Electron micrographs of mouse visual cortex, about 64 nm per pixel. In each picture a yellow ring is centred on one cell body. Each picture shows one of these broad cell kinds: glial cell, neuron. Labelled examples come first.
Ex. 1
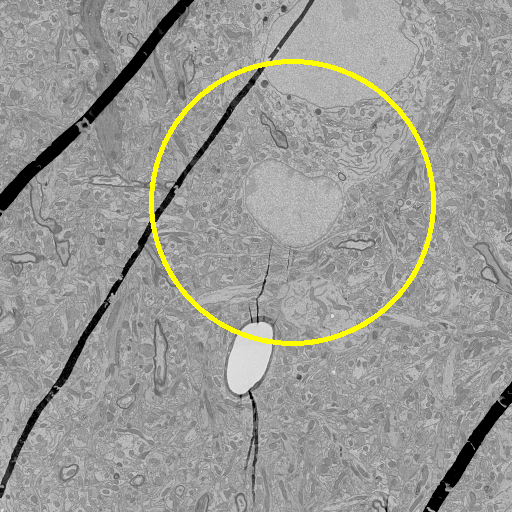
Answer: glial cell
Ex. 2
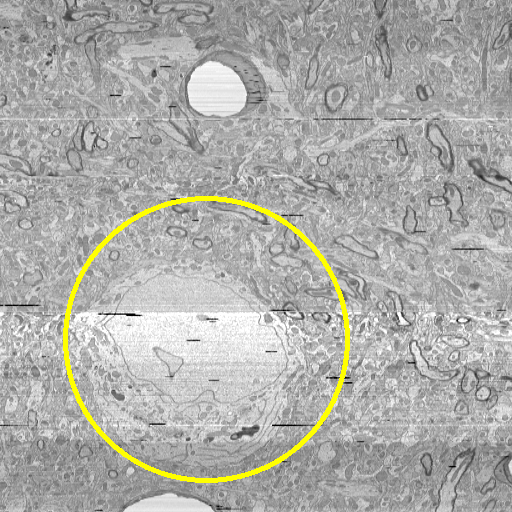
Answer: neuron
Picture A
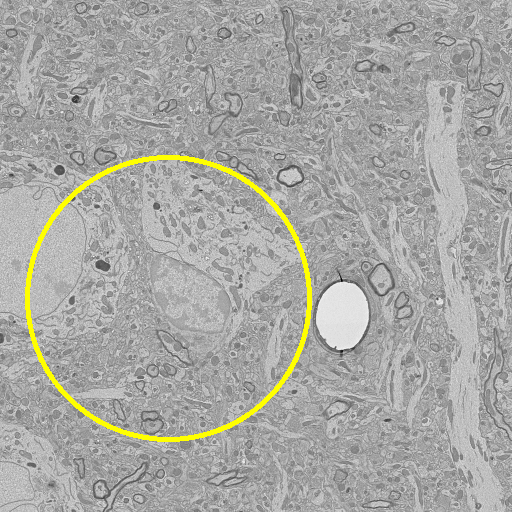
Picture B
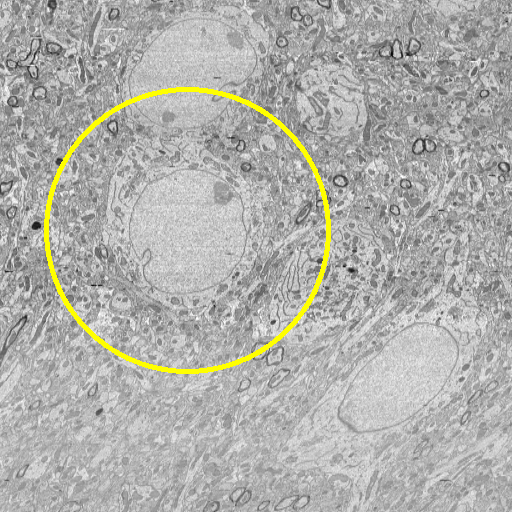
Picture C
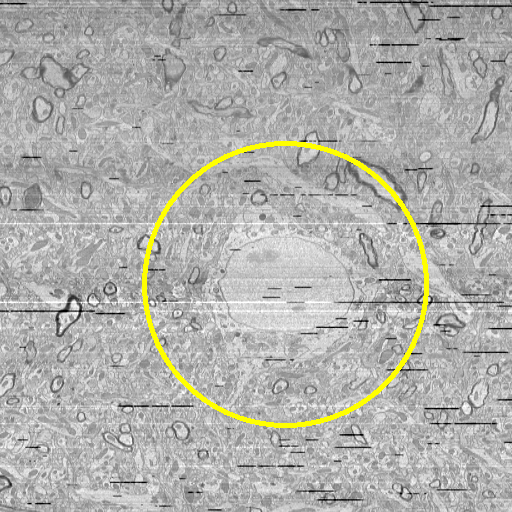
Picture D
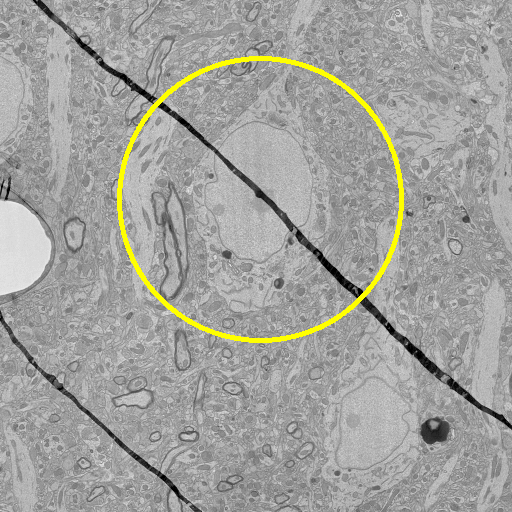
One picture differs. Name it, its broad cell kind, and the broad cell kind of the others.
A differs and shows glial cell; the others show neuron.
